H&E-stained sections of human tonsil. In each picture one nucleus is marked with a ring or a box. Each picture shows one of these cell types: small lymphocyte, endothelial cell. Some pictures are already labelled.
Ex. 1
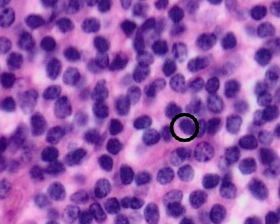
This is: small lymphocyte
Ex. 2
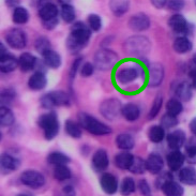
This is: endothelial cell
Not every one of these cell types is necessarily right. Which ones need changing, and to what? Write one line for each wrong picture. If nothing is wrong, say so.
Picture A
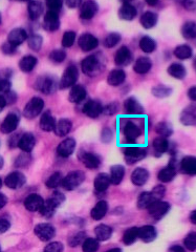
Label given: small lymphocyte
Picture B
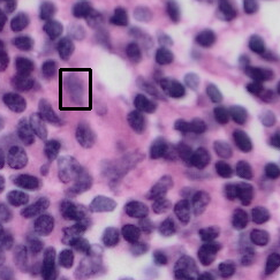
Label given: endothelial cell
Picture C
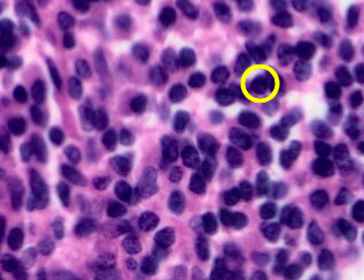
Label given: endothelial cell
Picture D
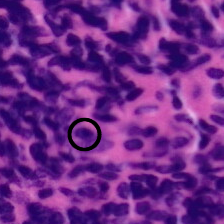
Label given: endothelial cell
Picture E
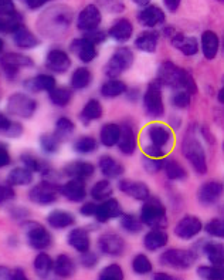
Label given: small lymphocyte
C should be small lymphocyte, not endothelial cell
